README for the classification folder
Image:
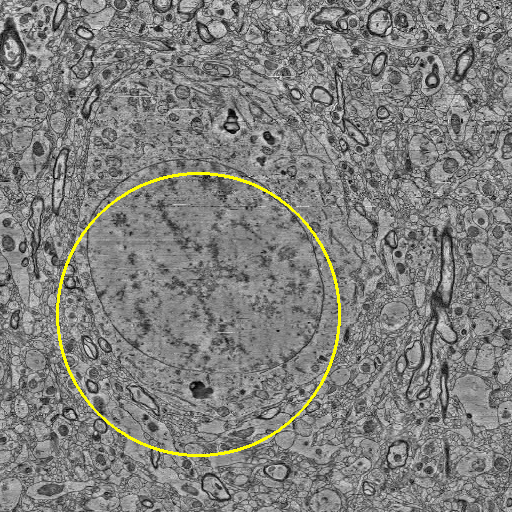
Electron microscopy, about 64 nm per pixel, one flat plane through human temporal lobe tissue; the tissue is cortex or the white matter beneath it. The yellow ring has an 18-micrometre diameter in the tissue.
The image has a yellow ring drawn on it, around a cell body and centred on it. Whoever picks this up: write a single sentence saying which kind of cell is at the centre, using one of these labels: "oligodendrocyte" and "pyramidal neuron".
This cell body is that of a pyramidal neuron.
